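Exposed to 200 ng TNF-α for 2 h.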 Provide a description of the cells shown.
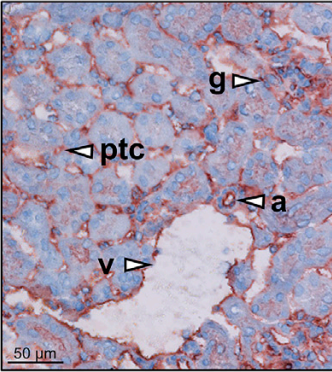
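This kidney tissue is mostly tubules in cross-section, rounded profiles of blue epithelial cells with round nuclei. Red-brown stain runs in the narrow spaces between the tubules, tracing the small vessels there. In one area it also outlines the bases of tubules. A glomerular tuft at the top is stained red within. A small round vessel beside a large, open, pale lumen has a red-ringed wall. The thin lining of the large lumen is also red along its edge.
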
